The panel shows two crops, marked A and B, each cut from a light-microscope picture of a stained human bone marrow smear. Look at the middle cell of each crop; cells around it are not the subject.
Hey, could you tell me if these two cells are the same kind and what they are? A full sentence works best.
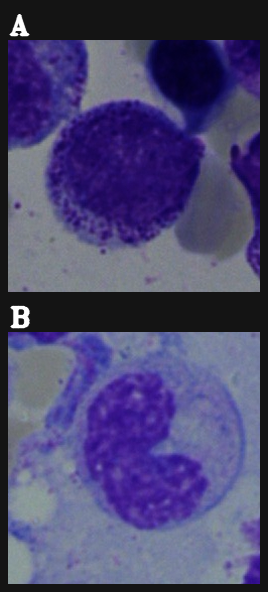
No, the assignment should read crop A, a myelocyte; crop B, a monocyte.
